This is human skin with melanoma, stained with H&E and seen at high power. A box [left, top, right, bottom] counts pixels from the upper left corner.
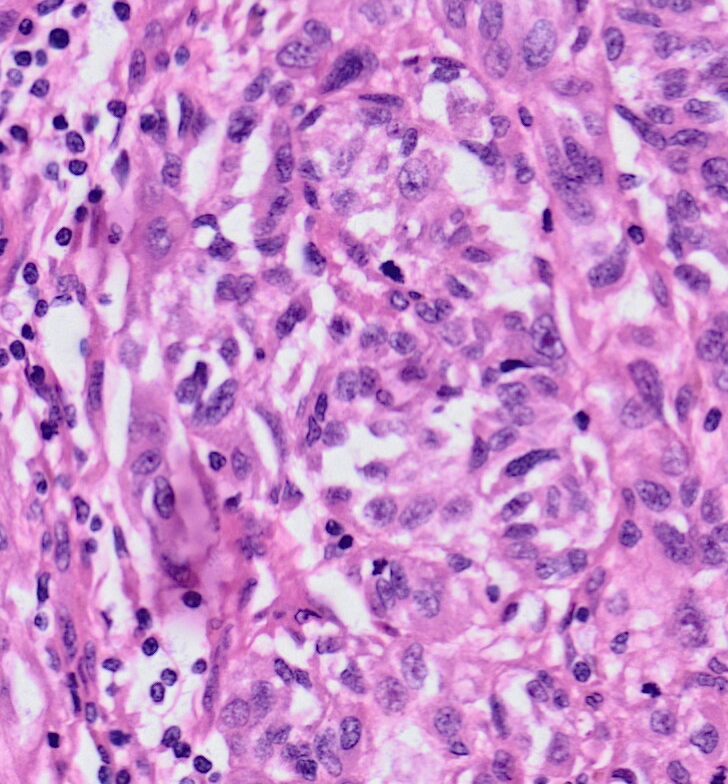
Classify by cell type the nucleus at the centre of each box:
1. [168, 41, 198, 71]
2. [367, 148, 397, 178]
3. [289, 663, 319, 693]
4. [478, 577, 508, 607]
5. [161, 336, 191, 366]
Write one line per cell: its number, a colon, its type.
1: lymphocyte
2: melanoma cell
3: melanoma cell
4: lymphocyte
5: melanoma cell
